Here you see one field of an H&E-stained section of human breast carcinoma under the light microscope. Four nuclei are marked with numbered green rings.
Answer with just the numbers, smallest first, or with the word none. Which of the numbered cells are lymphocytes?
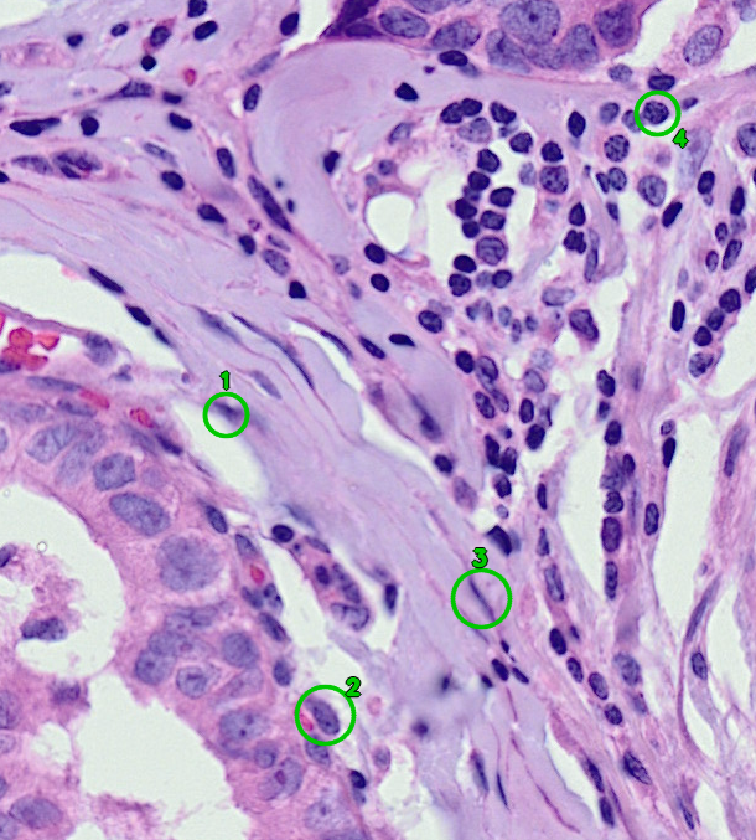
4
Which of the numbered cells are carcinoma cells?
none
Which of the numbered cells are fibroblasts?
1, 3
